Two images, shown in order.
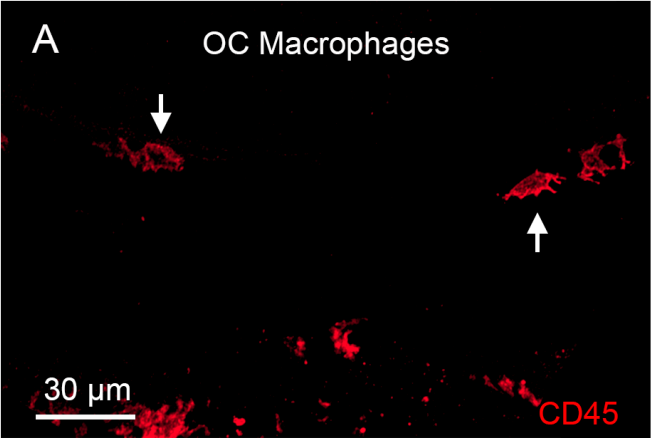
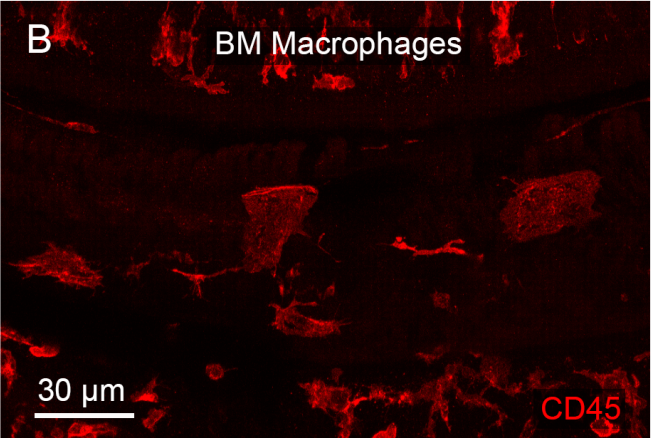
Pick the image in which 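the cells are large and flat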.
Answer: the second image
